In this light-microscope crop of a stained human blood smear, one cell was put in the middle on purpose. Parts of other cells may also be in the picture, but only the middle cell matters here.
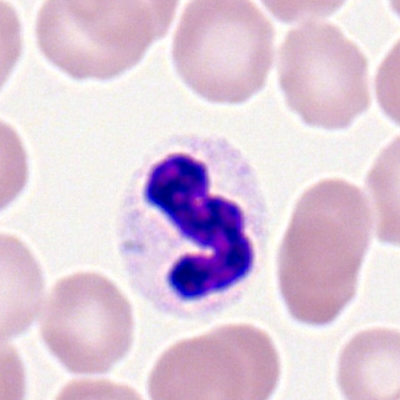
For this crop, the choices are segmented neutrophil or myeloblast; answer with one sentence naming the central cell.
Here the centrally located cell is a segmented neutrophil.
